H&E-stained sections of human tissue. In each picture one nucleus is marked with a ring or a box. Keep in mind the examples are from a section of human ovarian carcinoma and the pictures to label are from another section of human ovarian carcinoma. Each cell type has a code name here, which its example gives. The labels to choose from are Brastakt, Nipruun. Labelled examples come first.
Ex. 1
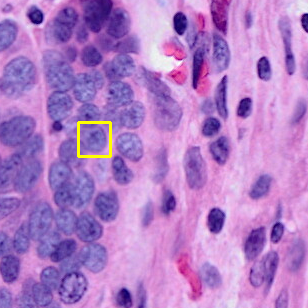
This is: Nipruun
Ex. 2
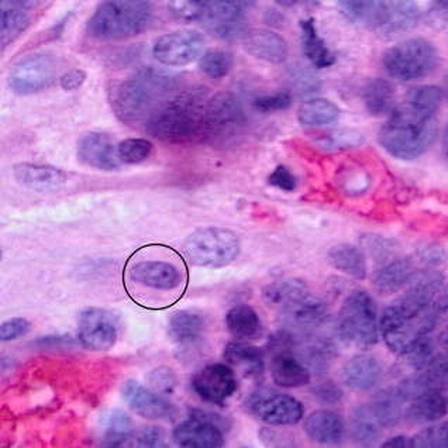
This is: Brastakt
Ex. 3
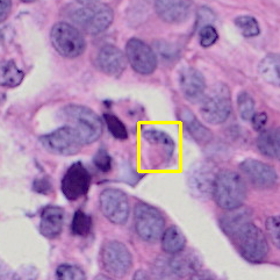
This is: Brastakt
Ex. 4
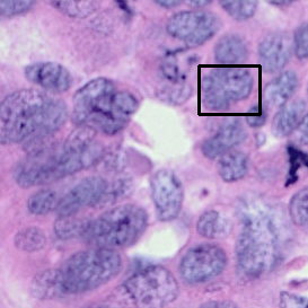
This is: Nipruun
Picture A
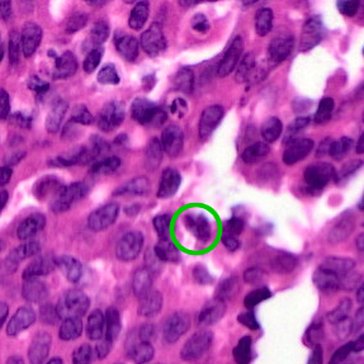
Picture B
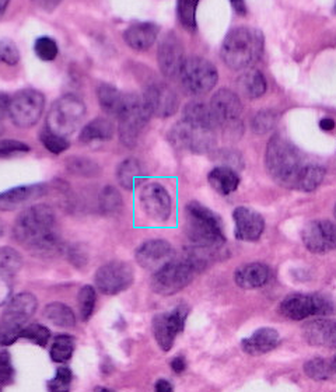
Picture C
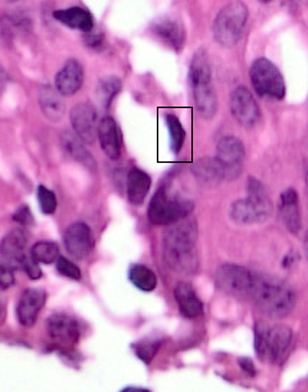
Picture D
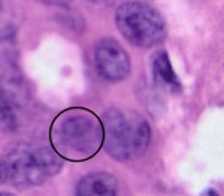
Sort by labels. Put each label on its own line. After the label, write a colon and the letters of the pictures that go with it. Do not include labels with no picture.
Brastakt: A, B
Nipruun: C, D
